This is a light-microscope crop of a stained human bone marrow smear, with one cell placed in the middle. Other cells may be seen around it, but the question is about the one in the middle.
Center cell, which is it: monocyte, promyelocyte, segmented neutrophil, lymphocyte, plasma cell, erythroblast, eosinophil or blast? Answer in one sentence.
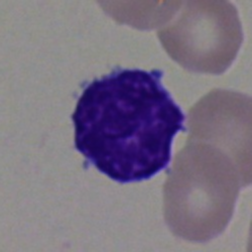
The target cell in the middle of the crop is a blast.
